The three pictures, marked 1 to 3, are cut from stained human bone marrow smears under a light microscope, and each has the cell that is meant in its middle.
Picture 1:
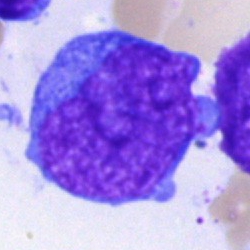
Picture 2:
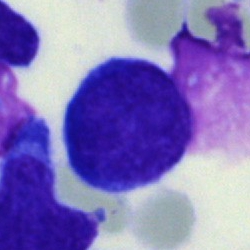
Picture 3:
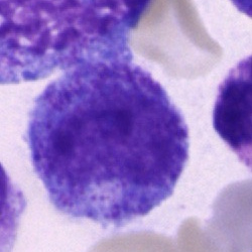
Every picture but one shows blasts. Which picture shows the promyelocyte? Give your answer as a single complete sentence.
The picture with the promyelocyte is 3.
